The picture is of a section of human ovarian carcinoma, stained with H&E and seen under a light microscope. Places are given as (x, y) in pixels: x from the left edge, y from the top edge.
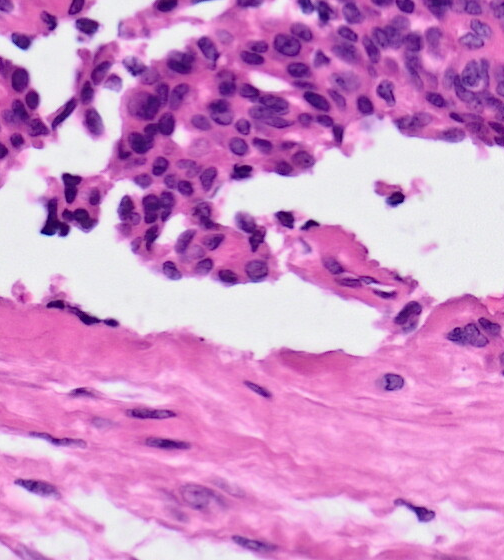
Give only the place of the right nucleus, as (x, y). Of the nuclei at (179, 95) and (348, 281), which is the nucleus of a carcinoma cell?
(179, 95)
